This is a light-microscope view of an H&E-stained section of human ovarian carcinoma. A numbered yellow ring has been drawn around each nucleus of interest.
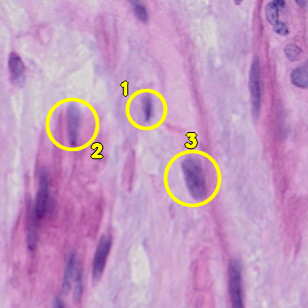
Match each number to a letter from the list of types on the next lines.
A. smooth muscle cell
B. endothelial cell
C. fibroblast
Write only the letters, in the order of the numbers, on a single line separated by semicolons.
C; A; B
